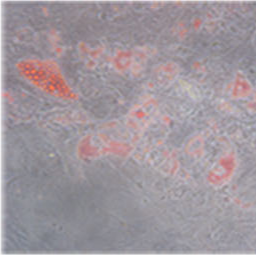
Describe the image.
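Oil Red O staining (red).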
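The background is a crowded layer of pale, flattened and elongated cells whose outlines overlap. Many cells carry small round red globules in their cytoplasm, often grouped around a clear central region. At the left one cell is filled with numerous tightly packed, uniformly sized red spherical droplets. Unstained areas between the clusters show the spindle-shaped cells of the monolayer.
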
